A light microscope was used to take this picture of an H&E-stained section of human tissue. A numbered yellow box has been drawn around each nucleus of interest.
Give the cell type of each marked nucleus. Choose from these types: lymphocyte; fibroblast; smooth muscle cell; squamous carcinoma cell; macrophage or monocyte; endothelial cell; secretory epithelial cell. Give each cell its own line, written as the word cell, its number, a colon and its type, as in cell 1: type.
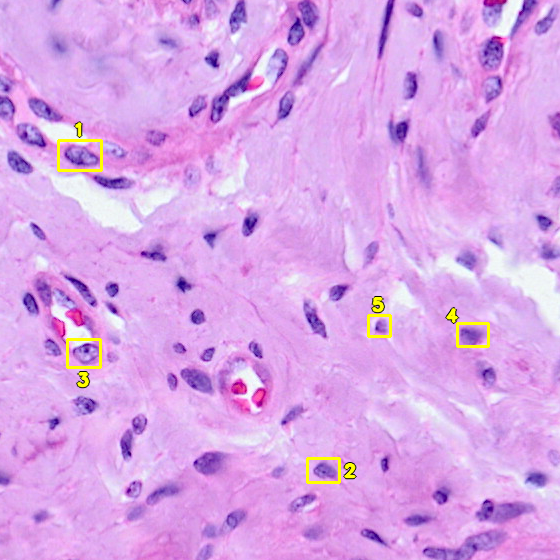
cell 1: endothelial cell
cell 2: fibroblast
cell 3: endothelial cell
cell 4: fibroblast
cell 5: fibroblast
